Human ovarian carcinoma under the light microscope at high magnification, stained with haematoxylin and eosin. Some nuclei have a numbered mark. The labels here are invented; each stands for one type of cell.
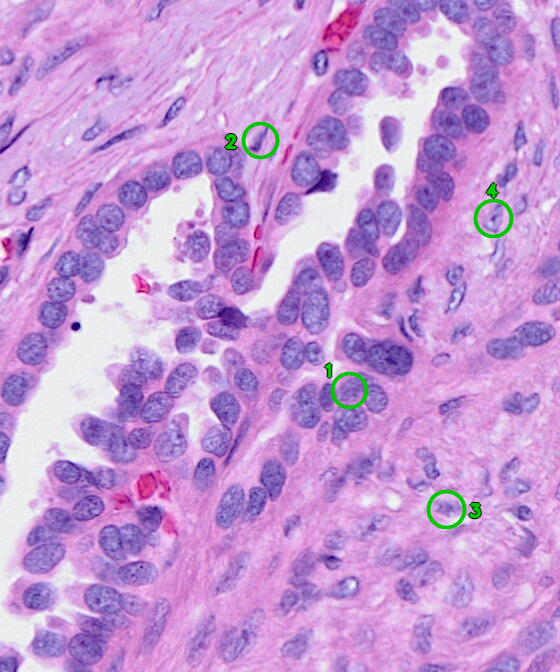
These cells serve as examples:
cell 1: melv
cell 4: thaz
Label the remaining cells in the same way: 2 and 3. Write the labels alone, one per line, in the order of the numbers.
thaz
thaz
